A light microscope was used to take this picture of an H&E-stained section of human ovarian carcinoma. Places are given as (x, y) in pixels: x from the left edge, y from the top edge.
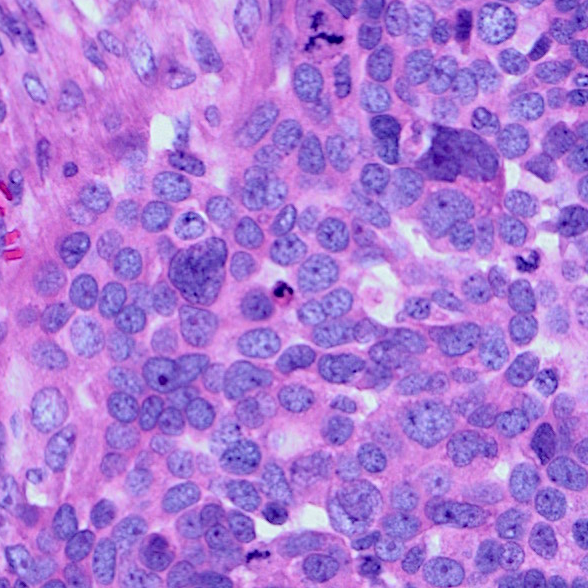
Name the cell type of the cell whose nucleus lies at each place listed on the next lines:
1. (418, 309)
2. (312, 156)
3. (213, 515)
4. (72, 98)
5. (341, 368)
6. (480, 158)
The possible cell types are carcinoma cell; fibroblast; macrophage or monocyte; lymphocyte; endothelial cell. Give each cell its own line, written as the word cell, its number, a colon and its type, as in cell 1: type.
cell 1: macrophage or monocyte
cell 2: carcinoma cell
cell 3: carcinoma cell
cell 4: fibroblast
cell 5: carcinoma cell
cell 6: carcinoma cell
